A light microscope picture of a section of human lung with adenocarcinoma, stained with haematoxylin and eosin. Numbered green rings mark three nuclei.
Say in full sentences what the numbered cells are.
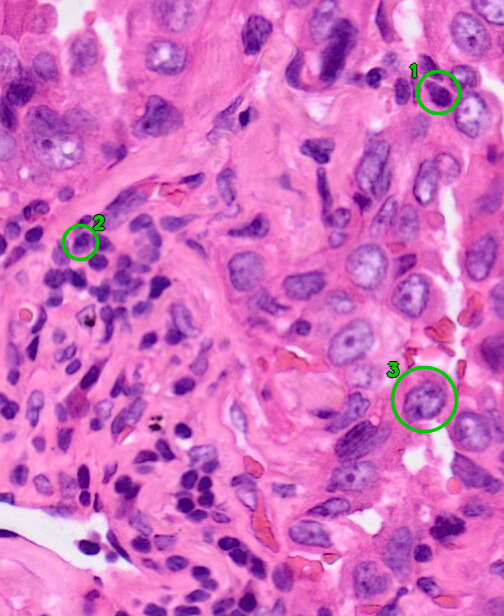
Cells 1 and 3 are carcinoma cells. Cell 2 is a lymphocyte.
